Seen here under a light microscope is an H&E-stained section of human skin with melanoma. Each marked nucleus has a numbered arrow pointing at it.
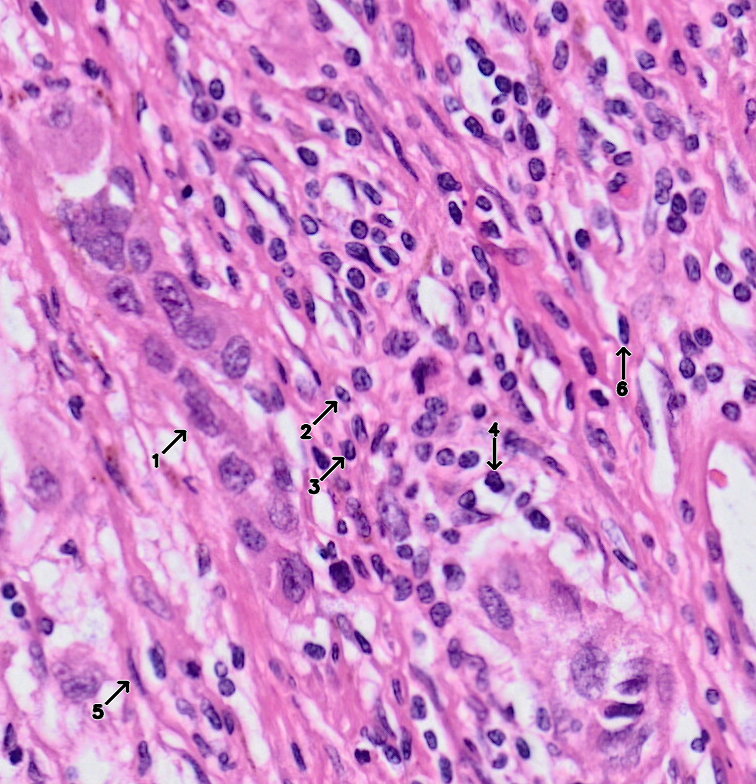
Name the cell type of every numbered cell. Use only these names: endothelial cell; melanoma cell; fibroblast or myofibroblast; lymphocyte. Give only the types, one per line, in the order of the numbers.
melanoma cell
lymphocyte
lymphocyte
lymphocyte
fibroblast or myofibroblast
lymphocyte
